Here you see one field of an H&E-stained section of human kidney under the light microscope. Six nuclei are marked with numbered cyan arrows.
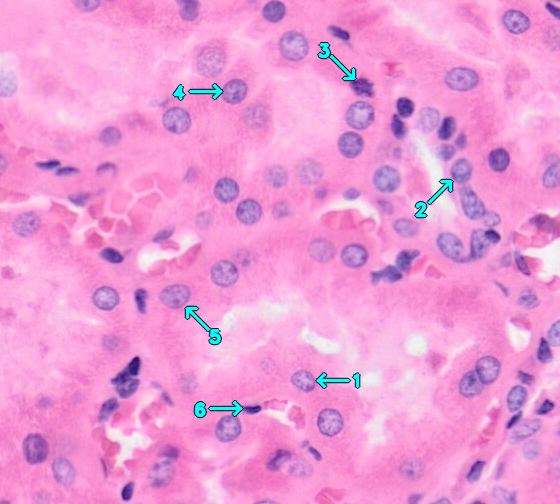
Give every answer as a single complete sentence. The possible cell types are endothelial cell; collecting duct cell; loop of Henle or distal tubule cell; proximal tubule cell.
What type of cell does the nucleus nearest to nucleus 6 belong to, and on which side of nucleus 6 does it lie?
The nearest nucleus is that of a proximal tubule cell and lies below and to the left of nucleus 6.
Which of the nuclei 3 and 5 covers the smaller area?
The smaller nucleus is 3, and 5 covers roughly 1.5 times its area.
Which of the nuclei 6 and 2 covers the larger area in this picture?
Of the two, number 2 is bigger and takes up about 2.5 times the area of number 6.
